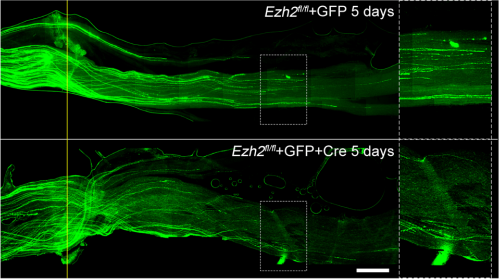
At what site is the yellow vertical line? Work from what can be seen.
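Dense bundled green fibres lie to the left of the yellow line. To the right of the line the fibres become fewer and end progressively. So: crush sites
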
